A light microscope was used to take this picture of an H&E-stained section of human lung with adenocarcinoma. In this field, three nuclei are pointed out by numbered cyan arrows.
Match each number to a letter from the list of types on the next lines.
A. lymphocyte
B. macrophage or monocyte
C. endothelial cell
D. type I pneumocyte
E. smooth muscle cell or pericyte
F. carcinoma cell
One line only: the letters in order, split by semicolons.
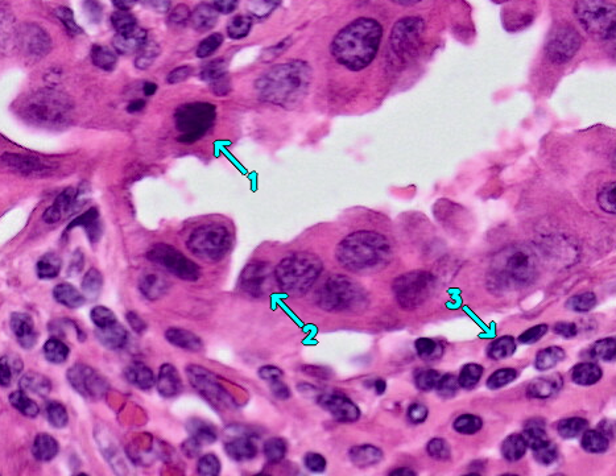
F; F; A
